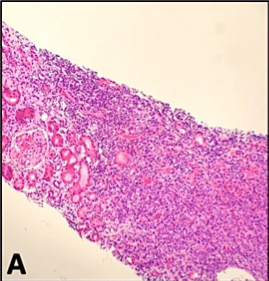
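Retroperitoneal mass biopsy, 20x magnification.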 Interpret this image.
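A core of kidney tissue is largely replaced by a dense, diffuse infiltrate of lymphoma cells. At one end, a glomerulus and a cluster of renal tubules with pink cytoplasm remain, while the rest of the core is filled by closely packed cells with dark purple nuclei that form a sheet without any glandular or follicular pattern. The infiltrate spreads between and around the surviving tubules, effacing the normal renal architecture. Occasional small vessels and clear spaces are seen within the cellular sheet.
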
